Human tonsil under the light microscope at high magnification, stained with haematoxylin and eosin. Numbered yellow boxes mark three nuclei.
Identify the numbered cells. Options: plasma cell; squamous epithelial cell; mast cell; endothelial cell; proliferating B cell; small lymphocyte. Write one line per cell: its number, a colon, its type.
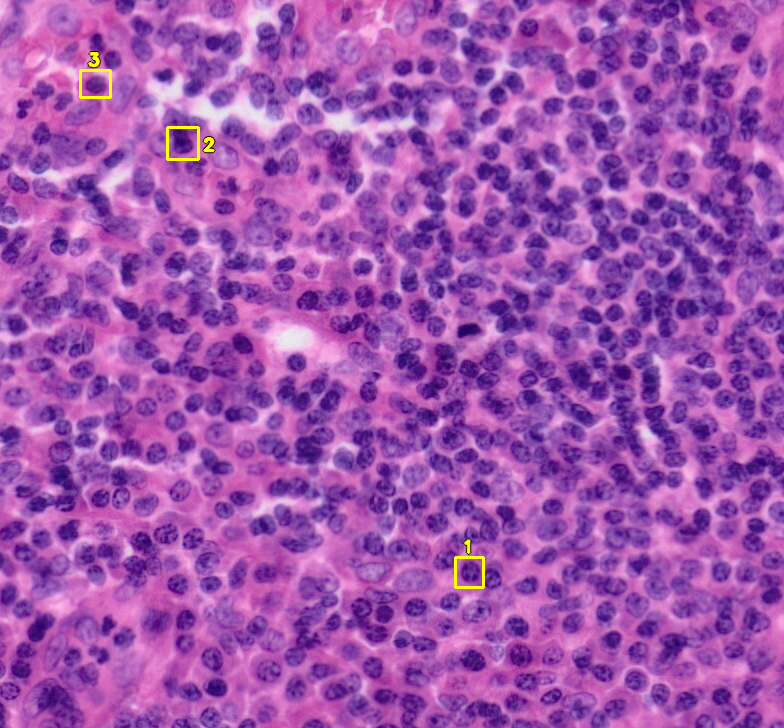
1: plasma cell
2: endothelial cell
3: endothelial cell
